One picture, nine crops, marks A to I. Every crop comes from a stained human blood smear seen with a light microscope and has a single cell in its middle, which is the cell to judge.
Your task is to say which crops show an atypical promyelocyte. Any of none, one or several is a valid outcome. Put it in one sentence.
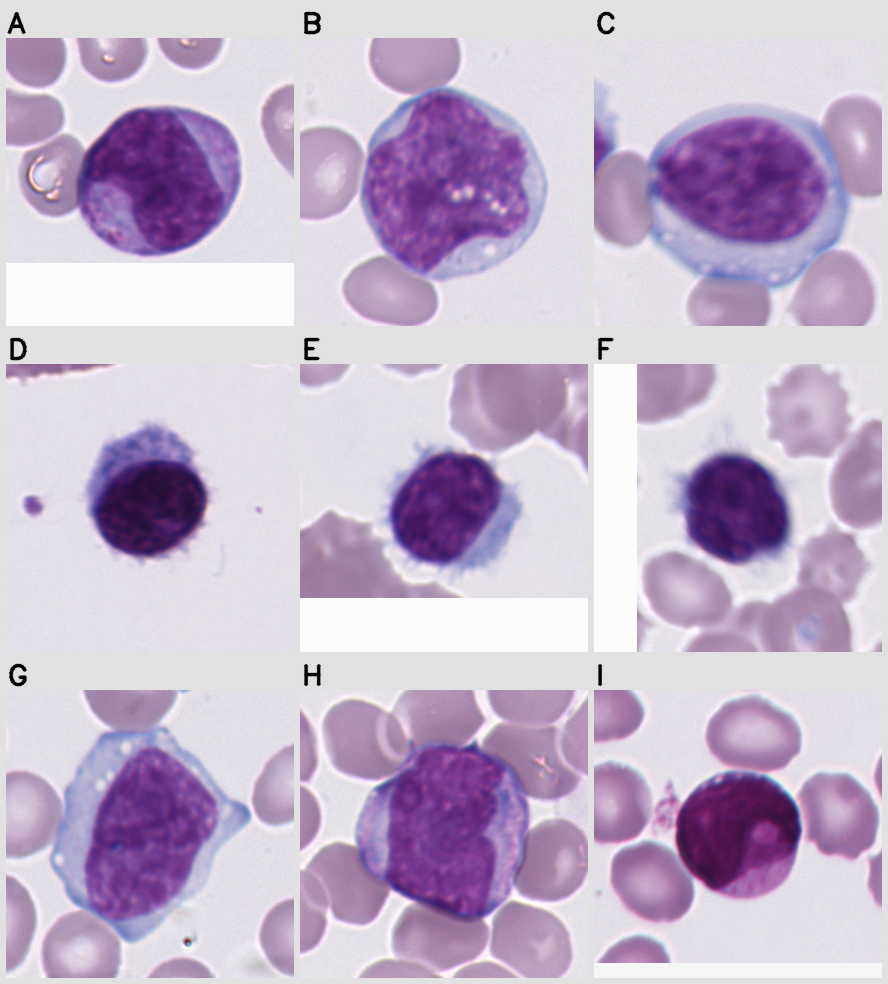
It is crops A and H that show atypical promyelocytes.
